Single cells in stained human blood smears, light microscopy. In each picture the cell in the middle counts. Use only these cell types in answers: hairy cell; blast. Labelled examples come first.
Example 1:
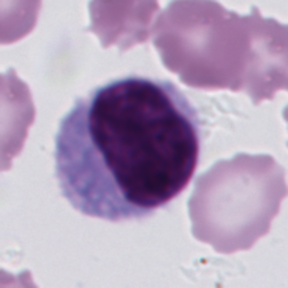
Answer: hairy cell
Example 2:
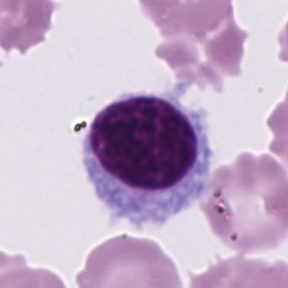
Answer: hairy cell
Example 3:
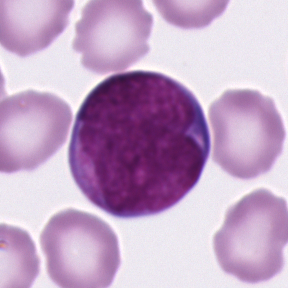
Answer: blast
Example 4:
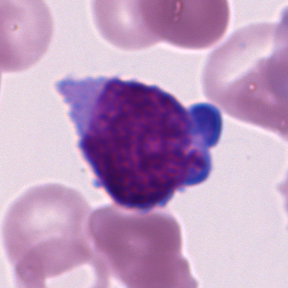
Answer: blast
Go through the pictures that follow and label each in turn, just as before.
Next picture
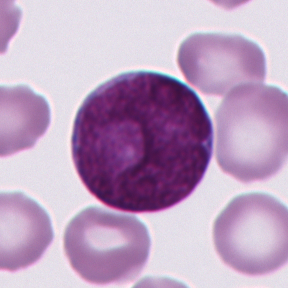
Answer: blast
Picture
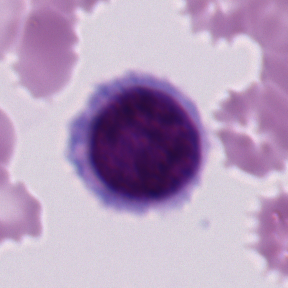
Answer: hairy cell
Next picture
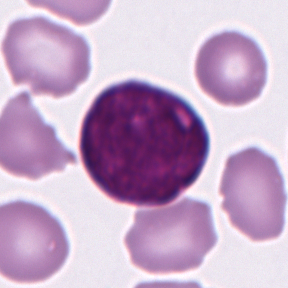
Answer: blast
